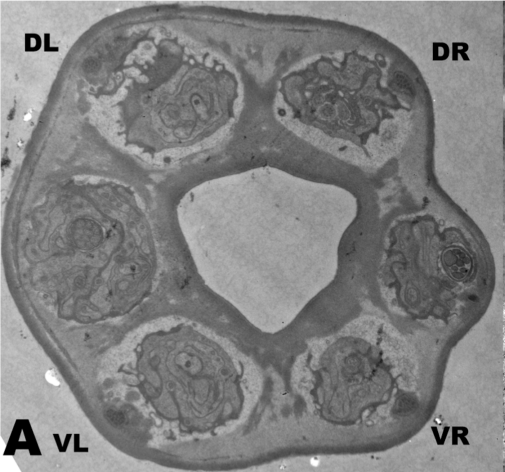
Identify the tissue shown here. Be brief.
Lips.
